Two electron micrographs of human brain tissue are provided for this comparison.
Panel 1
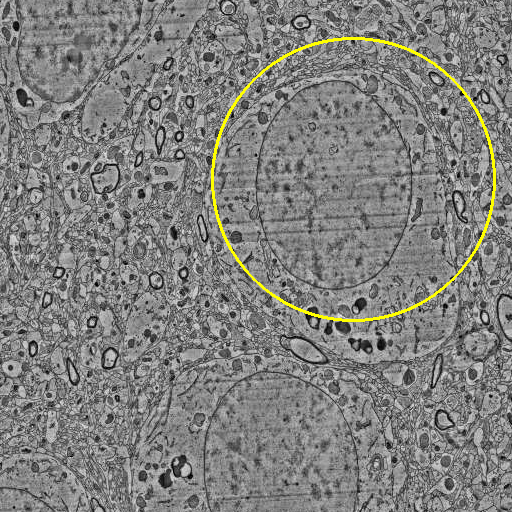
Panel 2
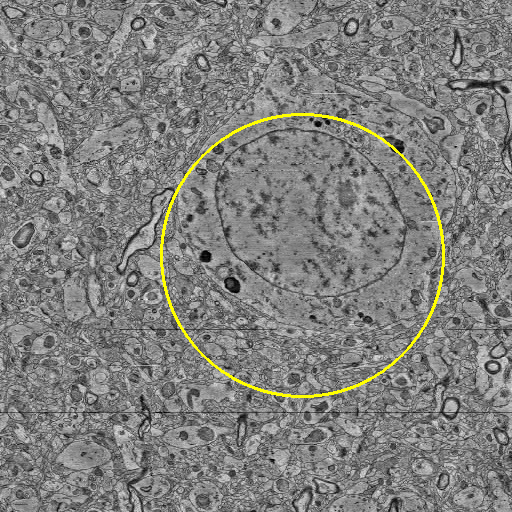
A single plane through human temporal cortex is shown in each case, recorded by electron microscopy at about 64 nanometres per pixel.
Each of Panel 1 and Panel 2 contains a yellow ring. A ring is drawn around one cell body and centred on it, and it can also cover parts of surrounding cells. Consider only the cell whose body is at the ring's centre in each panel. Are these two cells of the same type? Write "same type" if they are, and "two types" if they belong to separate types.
same type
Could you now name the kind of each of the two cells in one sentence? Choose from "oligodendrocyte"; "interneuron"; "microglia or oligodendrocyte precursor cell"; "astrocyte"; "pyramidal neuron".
The first and the second cell are each a pyramidal neuron.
